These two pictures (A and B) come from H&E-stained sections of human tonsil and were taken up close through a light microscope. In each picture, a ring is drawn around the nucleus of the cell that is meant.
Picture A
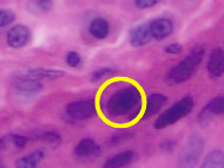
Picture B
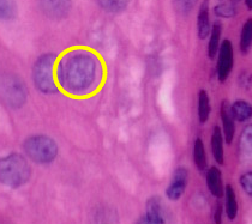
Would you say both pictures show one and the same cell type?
yes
